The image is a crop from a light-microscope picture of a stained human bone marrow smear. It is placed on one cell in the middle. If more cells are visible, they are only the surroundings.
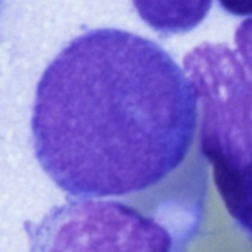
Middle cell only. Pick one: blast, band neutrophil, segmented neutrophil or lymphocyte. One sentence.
Positioned in the middle of the crop is a blast.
